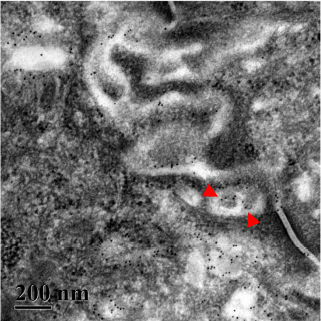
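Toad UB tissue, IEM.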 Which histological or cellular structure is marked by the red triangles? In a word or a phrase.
Intercellular spaces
